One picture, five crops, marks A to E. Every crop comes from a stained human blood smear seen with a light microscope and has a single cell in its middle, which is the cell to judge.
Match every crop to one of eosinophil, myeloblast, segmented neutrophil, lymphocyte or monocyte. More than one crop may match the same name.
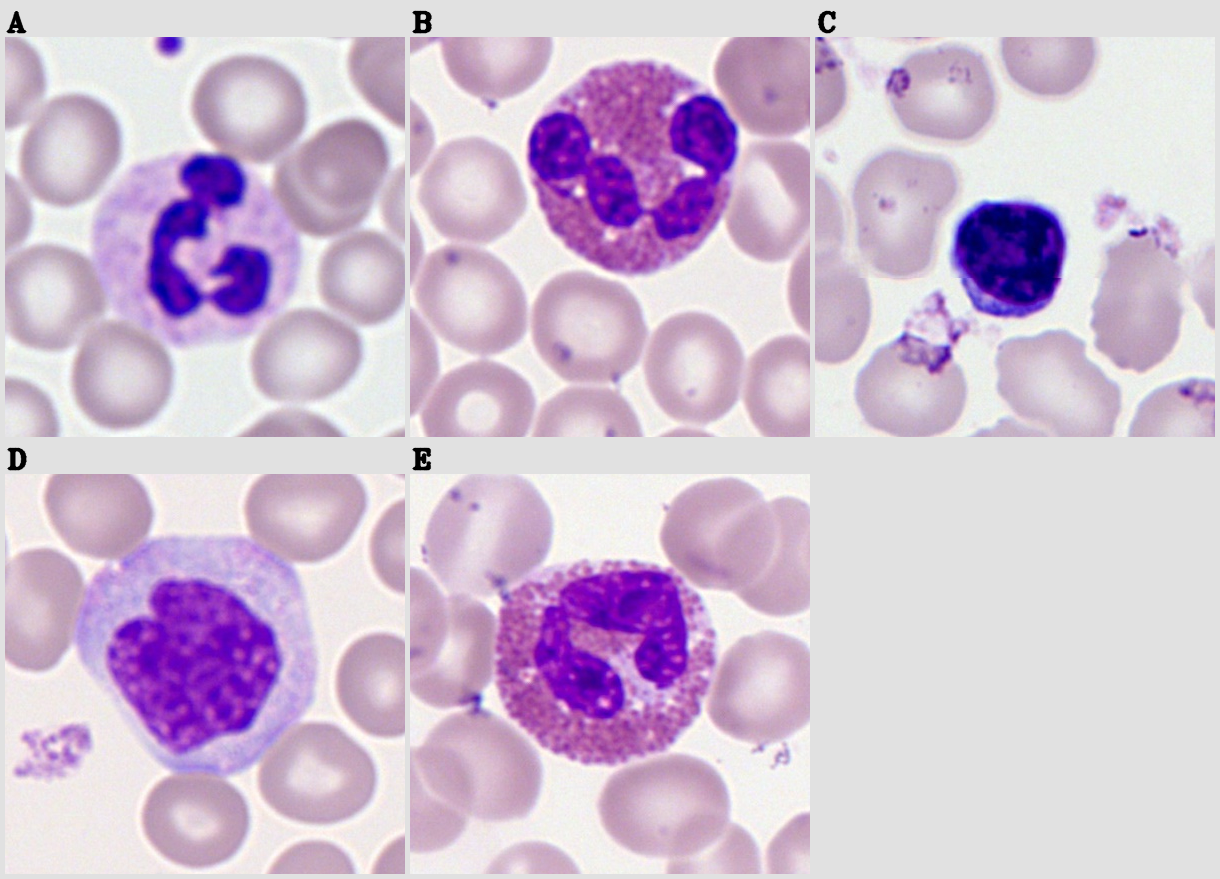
A: segmented neutrophil
B: eosinophil
C: lymphocyte
D: monocyte
E: eosinophil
